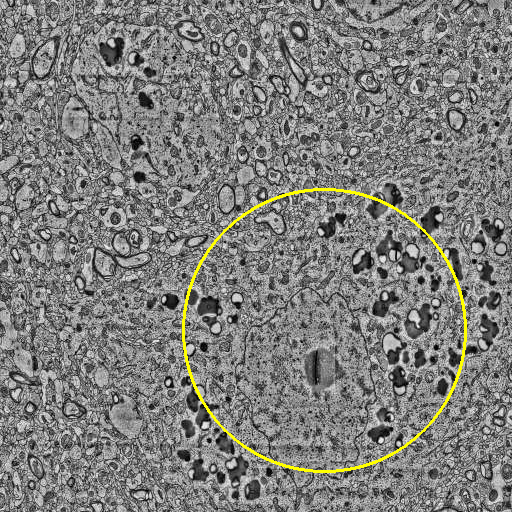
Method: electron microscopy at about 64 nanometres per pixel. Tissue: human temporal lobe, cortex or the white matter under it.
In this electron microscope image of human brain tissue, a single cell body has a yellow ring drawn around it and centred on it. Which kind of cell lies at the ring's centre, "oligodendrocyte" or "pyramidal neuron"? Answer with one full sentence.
It is a pyramidal neuron whose cell body lies at the centre of the yellow ring here.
